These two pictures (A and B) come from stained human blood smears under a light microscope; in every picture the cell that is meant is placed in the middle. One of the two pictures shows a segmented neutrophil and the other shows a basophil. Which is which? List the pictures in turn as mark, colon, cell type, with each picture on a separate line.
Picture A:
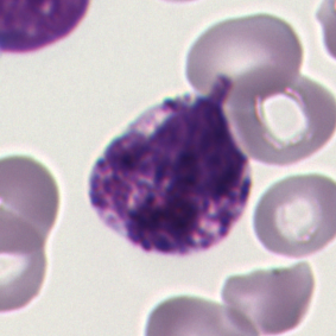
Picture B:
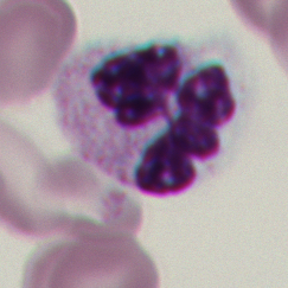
A: basophil
B: segmented neutrophil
